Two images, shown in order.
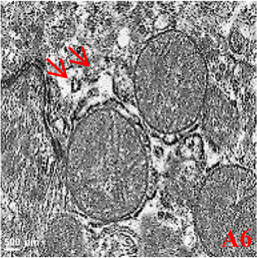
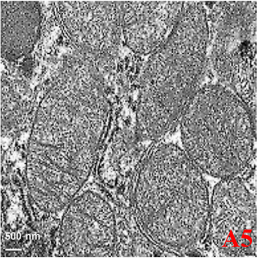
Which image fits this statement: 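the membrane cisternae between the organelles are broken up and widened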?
The first image.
